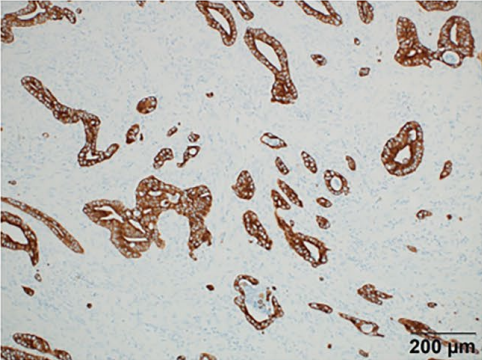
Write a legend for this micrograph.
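Glands range from small round tubules with narrow lumens to larger elongated, irregular and angulated ones, some with open lumens and others nearly solid. Their arrangement is disorderly, with no lobular architecture, and the glands are spaced apart by abundant pale fibrous tissue. The lining appears as a single to slightly crowded layer of cuboidal to columnar cells around each lumen.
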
